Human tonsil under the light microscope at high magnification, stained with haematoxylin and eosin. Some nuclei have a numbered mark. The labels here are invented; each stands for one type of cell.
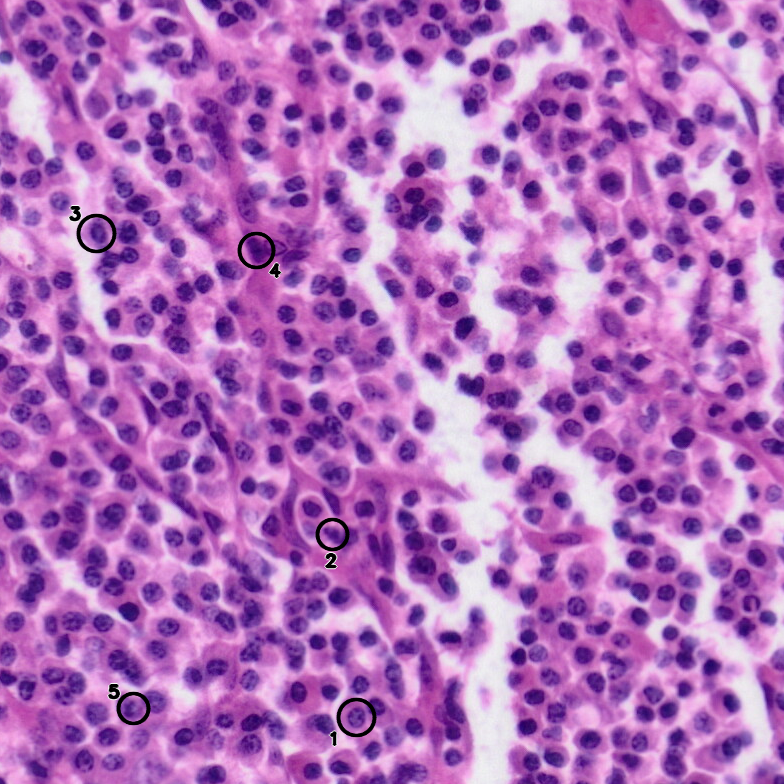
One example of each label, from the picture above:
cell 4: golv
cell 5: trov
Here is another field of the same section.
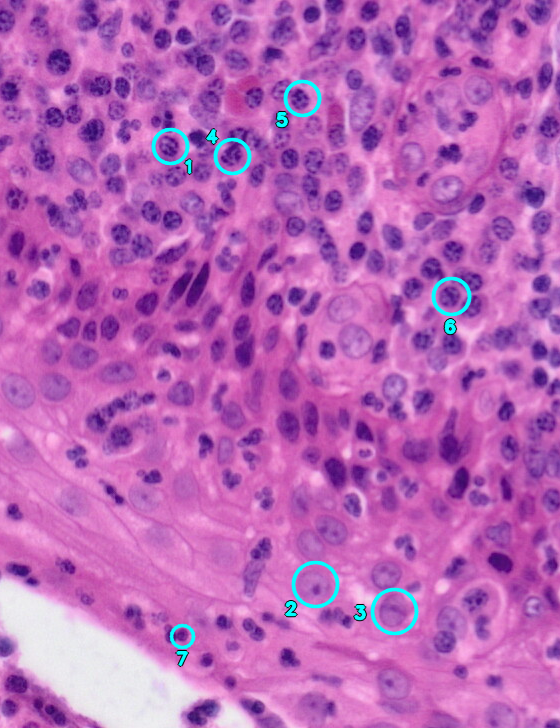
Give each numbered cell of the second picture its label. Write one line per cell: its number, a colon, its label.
1: trov
2: golv
3: golv
4: trov
5: trov
6: trov
7: golv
